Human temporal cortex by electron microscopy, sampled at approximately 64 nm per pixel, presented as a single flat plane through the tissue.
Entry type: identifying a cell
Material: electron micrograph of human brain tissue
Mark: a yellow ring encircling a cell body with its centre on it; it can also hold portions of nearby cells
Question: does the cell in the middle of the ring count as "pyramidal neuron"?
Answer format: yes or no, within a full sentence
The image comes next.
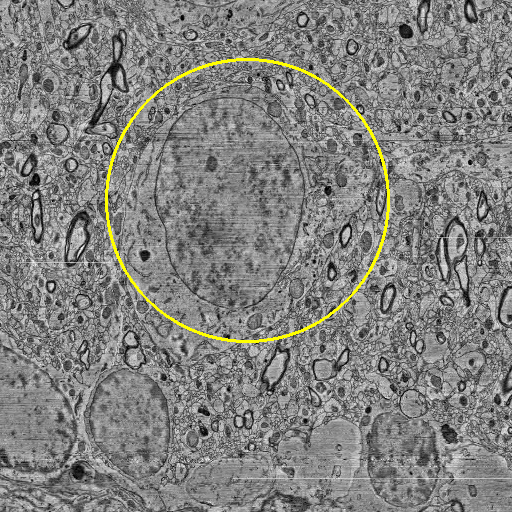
Yes, in the image, the cell in the middle of the yellow ring counts as the queried kind.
